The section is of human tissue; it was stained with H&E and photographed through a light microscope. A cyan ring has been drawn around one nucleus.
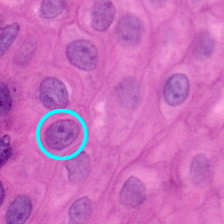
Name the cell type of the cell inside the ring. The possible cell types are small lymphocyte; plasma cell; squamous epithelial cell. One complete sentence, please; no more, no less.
Microscopically, the cell inside the ring is categorized as a squamous epithelial cell.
